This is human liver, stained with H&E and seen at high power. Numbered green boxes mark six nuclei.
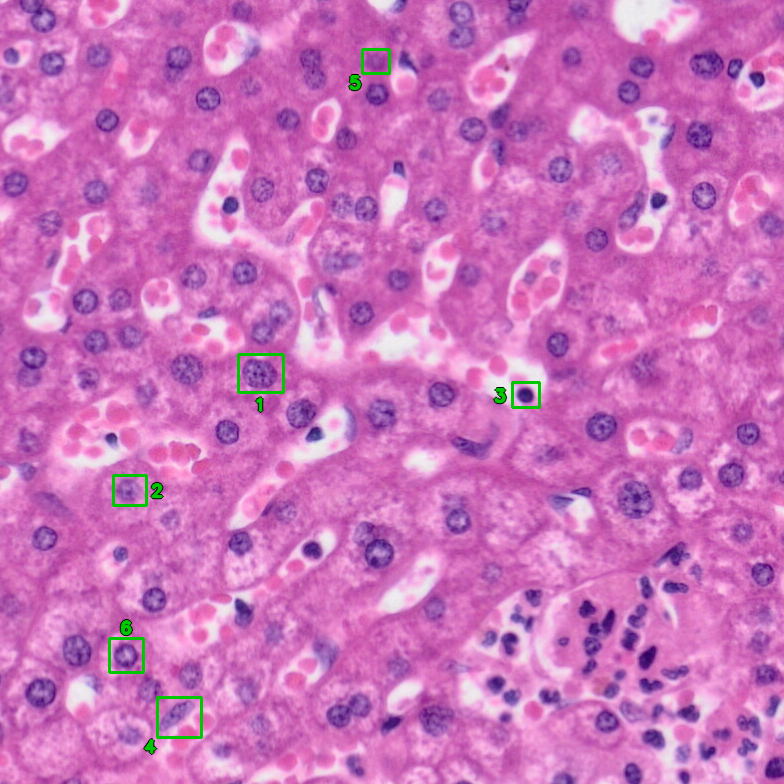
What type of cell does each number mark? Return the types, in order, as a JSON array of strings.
["hepatocyte", "hepatocyte", "lymphocyte", "Kupffer cell", "hepatocyte", "hepatocyte"]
